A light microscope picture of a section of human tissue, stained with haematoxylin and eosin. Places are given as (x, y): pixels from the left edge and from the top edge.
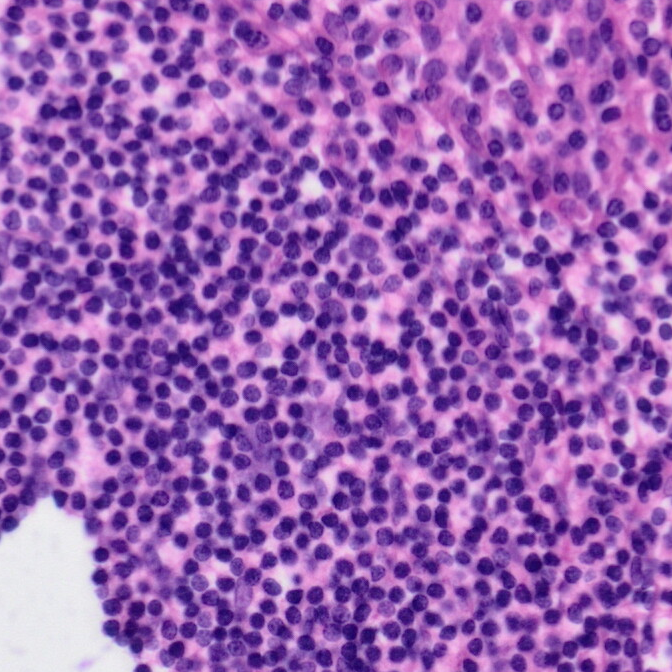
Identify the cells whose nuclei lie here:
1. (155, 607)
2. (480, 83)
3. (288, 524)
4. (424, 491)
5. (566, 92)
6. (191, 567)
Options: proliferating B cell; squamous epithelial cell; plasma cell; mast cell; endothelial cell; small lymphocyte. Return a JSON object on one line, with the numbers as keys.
{"1": "small lymphocyte", "2": "plasma cell", "3": "small lymphocyte", "4": "small lymphocyte", "5": "plasma cell", "6": "small lymphocyte"}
